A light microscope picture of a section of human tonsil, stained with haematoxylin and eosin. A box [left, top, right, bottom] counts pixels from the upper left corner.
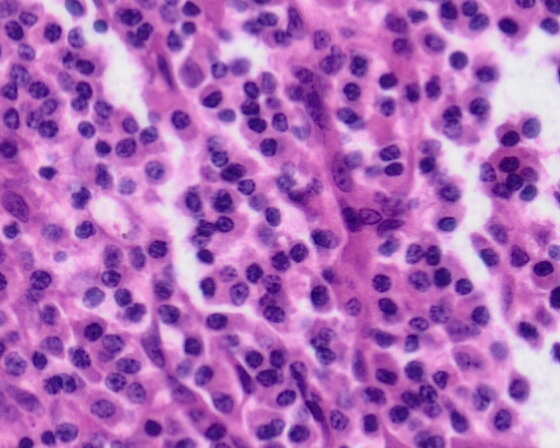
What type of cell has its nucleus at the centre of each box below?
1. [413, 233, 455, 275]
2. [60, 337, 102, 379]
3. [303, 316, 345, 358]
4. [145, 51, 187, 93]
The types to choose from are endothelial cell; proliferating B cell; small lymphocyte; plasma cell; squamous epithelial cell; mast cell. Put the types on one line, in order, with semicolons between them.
plasma cell; plasma cell; plasma cell; squamous epithelial cell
